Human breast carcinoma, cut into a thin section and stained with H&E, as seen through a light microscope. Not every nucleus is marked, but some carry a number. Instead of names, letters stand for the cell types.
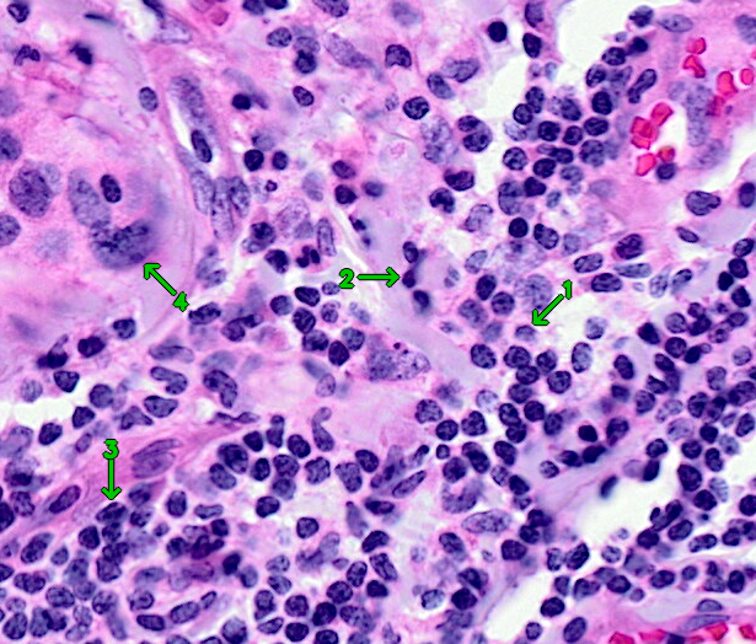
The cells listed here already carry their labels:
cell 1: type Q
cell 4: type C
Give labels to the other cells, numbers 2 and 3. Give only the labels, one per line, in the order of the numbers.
type Q
type Q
